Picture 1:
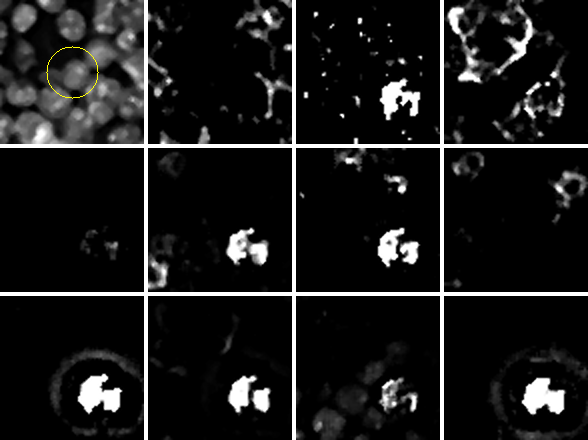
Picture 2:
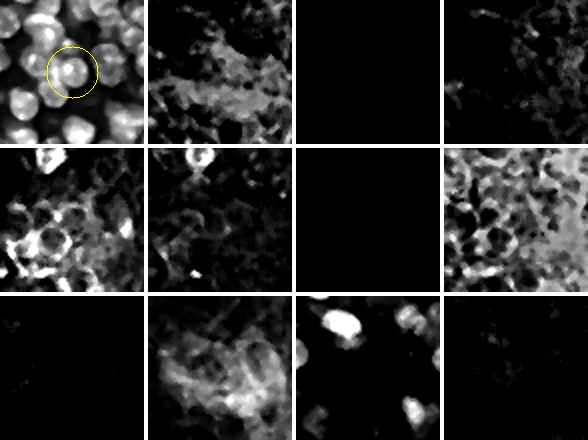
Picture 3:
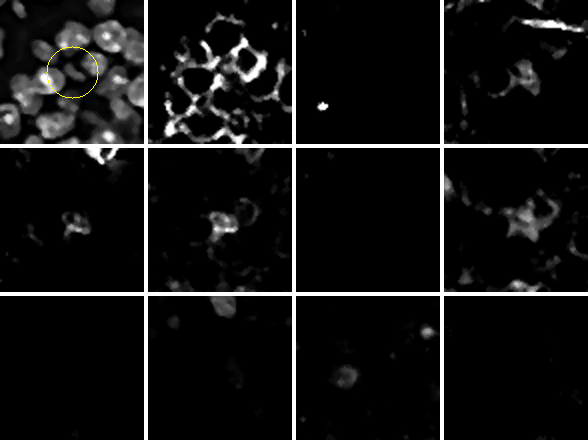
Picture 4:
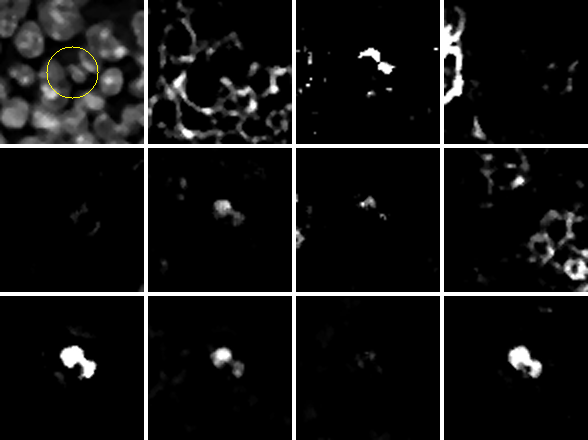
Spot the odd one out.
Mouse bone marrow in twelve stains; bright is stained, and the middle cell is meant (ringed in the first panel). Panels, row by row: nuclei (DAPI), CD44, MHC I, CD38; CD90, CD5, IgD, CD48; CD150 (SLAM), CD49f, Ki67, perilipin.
Picture 1 (an erythroblast among T cells).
